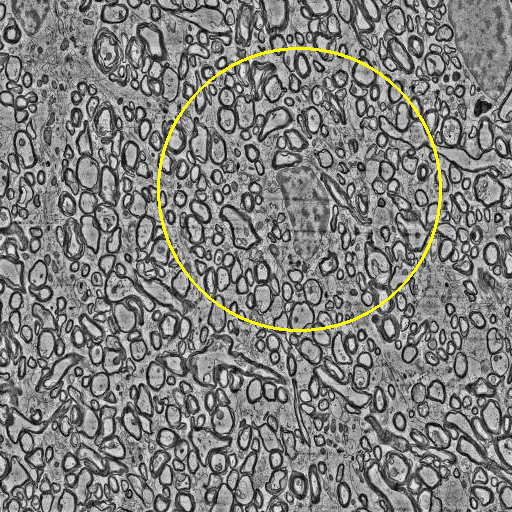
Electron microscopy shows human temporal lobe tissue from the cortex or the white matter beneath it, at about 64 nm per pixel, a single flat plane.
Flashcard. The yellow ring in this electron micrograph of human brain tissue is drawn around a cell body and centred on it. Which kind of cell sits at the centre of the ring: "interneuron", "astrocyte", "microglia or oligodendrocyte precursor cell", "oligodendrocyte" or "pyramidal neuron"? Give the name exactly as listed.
microglia or oligodendrocyte precursor cell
